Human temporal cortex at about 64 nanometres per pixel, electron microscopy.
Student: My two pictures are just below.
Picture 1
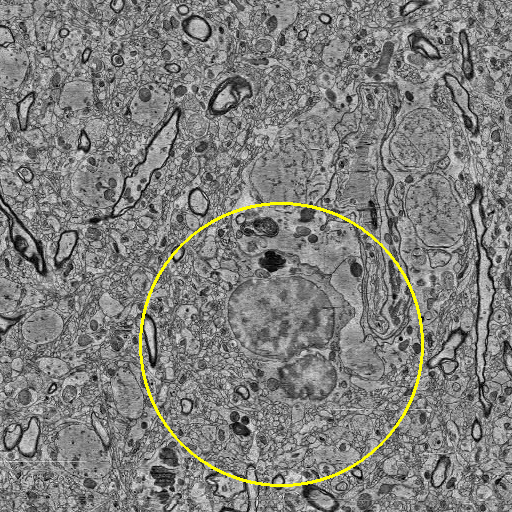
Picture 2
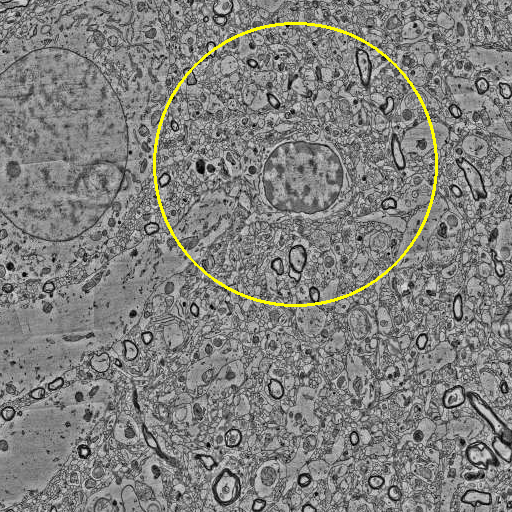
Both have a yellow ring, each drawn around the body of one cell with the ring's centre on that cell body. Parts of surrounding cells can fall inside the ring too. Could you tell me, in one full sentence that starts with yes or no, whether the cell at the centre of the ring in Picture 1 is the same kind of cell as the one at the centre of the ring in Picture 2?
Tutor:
No, the two cells are of two kinds.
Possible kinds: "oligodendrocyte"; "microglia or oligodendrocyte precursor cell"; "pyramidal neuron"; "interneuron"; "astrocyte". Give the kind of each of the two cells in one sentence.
The cell in the second picture is a microglial cell or oligodendrocyte precursor cell, and that in the first is an oligodendrocyte.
